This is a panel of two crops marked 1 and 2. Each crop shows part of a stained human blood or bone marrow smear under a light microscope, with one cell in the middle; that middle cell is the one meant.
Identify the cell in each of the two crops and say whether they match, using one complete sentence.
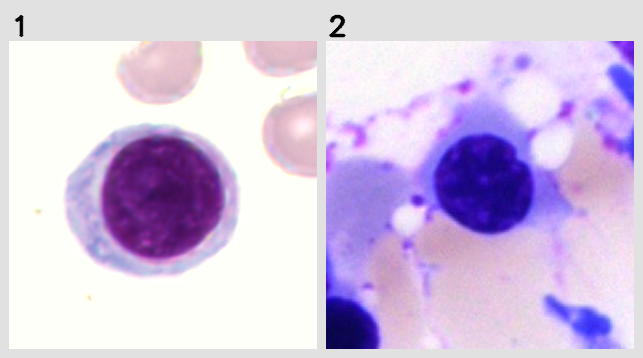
No, mark crop 1 as a plasma cell and crop 2 as a normoblast.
